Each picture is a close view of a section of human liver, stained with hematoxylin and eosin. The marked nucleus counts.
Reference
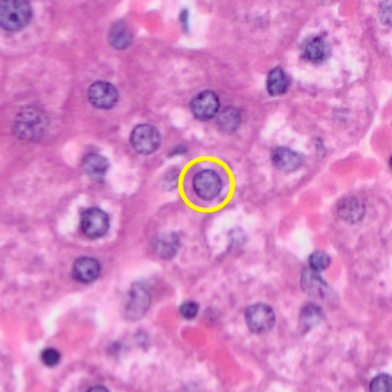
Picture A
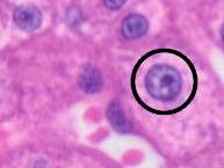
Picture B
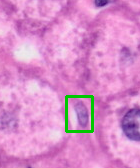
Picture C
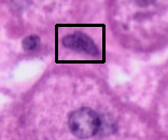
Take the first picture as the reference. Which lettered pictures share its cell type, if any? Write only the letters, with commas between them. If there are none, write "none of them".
A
